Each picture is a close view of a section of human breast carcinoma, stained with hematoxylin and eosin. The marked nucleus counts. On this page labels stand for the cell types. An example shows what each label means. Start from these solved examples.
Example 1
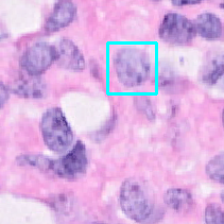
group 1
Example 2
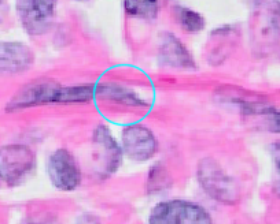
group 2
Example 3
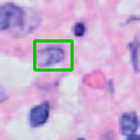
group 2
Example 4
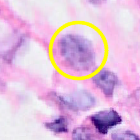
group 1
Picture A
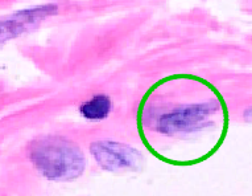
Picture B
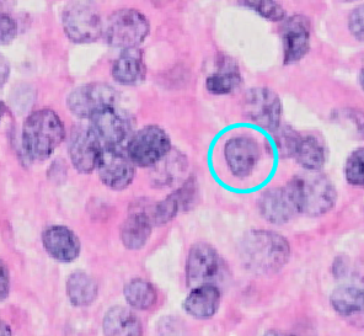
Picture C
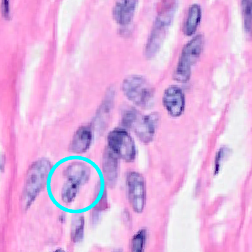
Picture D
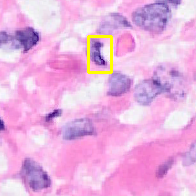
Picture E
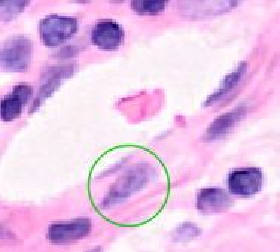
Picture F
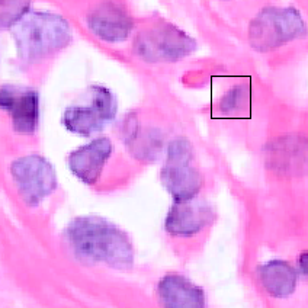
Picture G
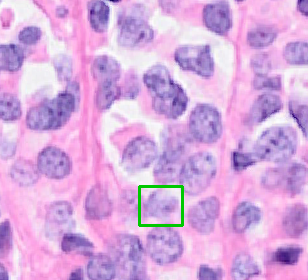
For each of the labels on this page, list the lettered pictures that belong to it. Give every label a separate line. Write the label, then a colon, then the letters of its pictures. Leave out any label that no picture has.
group 1: B, G
group 2: A, C, D, E, F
